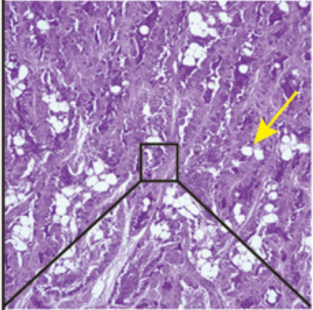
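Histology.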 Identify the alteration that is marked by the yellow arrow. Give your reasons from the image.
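The arrow points to clear, unstained round spaces within the purple tissue. Several such empty rounded spaces are scattered through the section. So: empty sacs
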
